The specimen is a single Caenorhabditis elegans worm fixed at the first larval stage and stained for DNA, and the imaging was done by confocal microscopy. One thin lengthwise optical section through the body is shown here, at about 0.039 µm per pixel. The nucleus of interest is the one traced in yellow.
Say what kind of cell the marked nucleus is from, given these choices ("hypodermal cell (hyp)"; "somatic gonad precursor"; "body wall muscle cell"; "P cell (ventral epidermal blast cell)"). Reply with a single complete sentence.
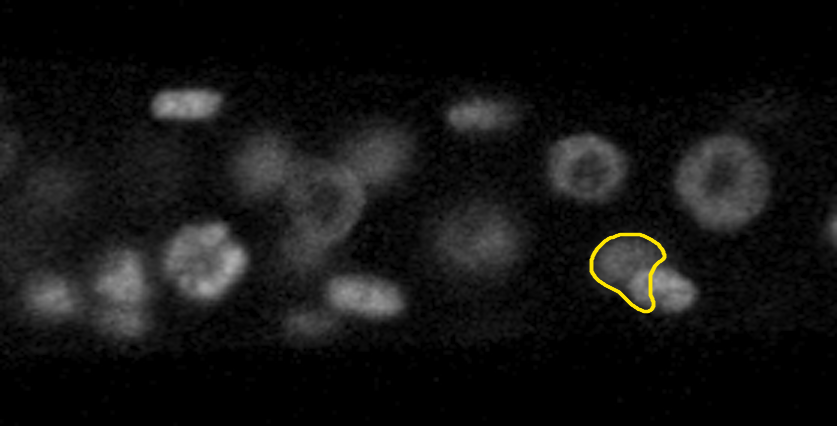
This is the nucleus of a P cell (ventral epidermal blast cell).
